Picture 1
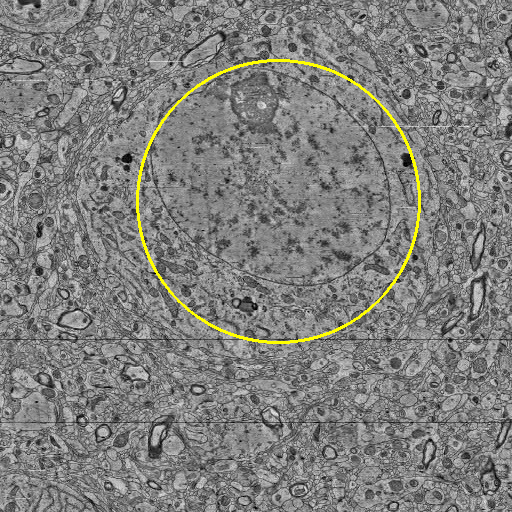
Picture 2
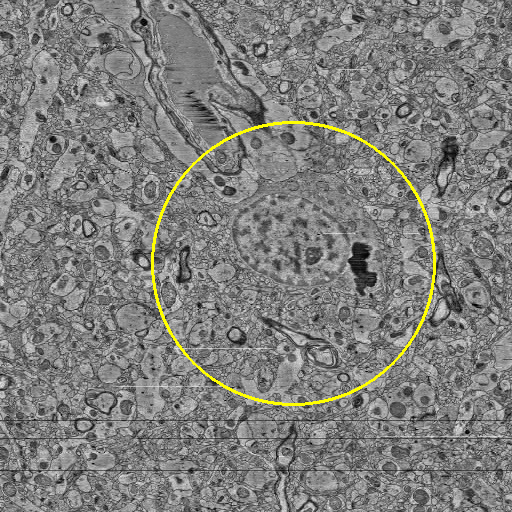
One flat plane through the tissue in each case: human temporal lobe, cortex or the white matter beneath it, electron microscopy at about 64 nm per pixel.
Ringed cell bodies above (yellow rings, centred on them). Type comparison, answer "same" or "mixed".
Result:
mixed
